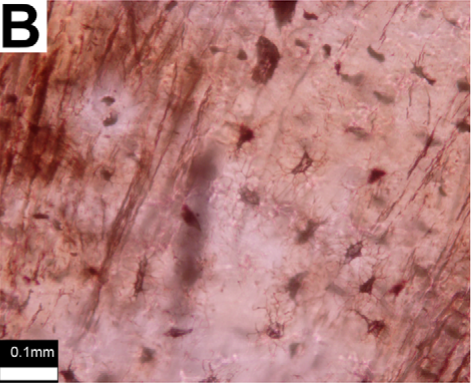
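Bone tissue with osteocyte lacunae seen in a thin section. Small dark cavities are scattered through a pale matrix. Many are smaller and more irregular or star-like than spindle-shaped, with numerous fine dark canaliculi branching from them in several directions. Long brown fibre-like streaks cross the field obliquely, most densely at the left. Out-of-focus grey cavities at other depths appear as blurred shapes among the sharp ones.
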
